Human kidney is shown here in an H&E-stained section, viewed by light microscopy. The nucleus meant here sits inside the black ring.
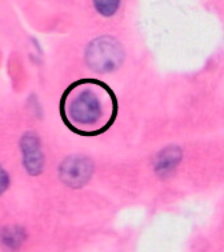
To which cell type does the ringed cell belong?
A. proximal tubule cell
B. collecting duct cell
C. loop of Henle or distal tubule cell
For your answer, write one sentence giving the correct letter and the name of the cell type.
Option A correctly identifies the ringed cell as a proximal tubule cell.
